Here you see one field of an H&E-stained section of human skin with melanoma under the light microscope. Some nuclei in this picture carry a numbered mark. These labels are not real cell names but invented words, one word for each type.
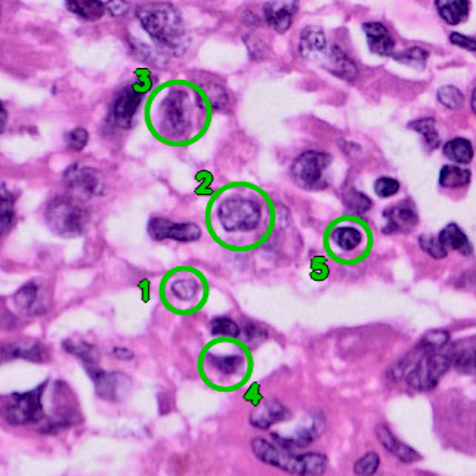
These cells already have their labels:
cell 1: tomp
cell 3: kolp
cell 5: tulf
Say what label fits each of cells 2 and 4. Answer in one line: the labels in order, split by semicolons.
kolp; kolp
